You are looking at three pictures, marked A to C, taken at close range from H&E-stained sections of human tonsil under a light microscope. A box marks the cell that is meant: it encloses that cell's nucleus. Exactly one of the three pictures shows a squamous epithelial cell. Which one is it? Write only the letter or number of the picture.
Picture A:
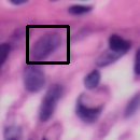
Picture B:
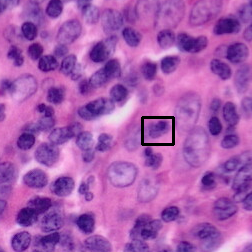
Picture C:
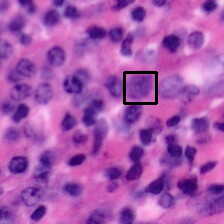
A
